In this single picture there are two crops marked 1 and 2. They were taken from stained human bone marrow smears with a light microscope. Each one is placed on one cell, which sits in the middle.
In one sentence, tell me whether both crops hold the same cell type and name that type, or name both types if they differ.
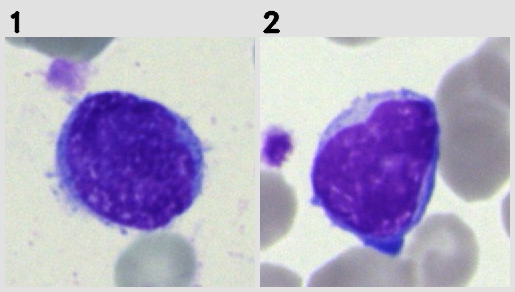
Yes, the cells that both crops show at the centre are blasts.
